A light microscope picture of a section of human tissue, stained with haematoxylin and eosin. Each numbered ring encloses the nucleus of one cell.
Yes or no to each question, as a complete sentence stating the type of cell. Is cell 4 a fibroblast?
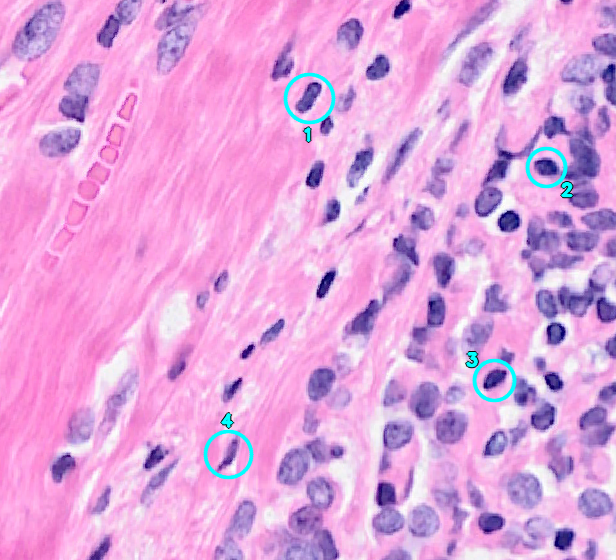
Yes, the numbered nucleus 4 is that of a fibroblast.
